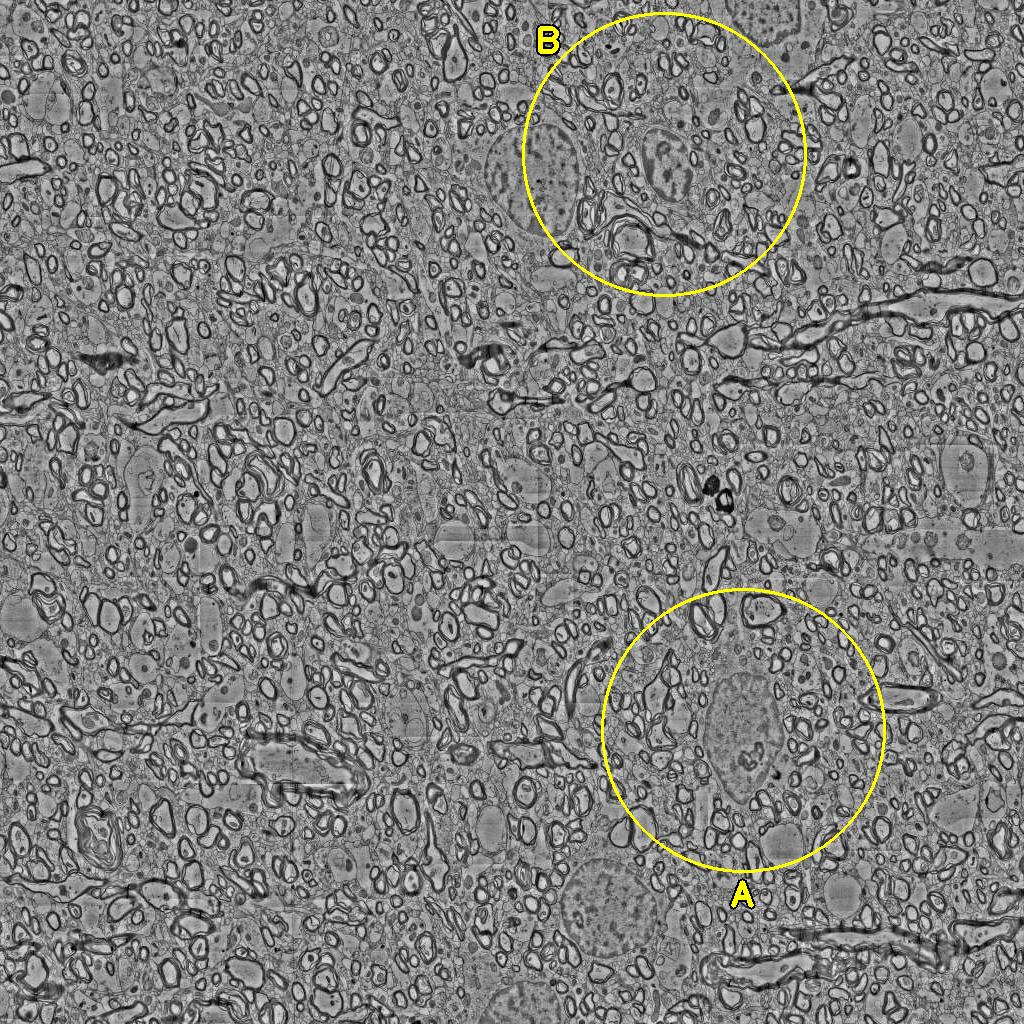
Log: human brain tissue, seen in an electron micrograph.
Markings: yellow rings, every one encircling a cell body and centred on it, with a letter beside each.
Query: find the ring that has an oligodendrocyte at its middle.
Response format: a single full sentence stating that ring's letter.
The letter A marks the ring centred on the cell asked for in the image.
